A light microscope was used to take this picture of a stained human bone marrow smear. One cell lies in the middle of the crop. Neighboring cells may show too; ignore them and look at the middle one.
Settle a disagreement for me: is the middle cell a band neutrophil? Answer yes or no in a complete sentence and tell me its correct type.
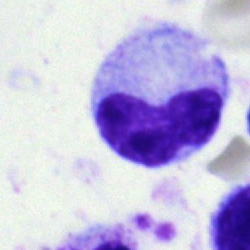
Yes, the cell at the heart of the crop is a band neutrophil.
